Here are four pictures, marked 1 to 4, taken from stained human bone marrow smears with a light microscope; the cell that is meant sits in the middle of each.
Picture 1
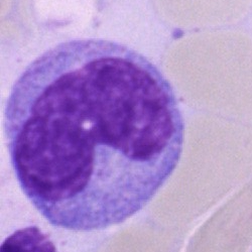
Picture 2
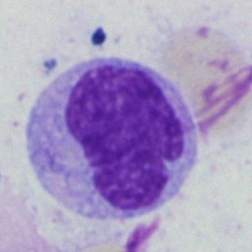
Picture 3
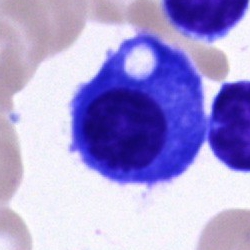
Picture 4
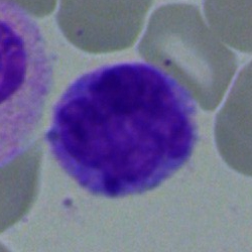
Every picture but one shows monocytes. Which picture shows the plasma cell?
3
